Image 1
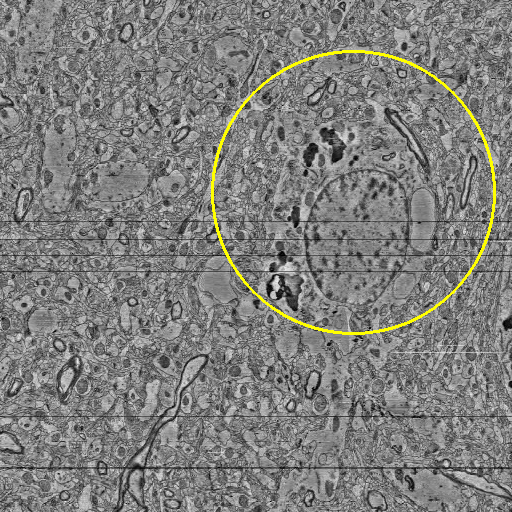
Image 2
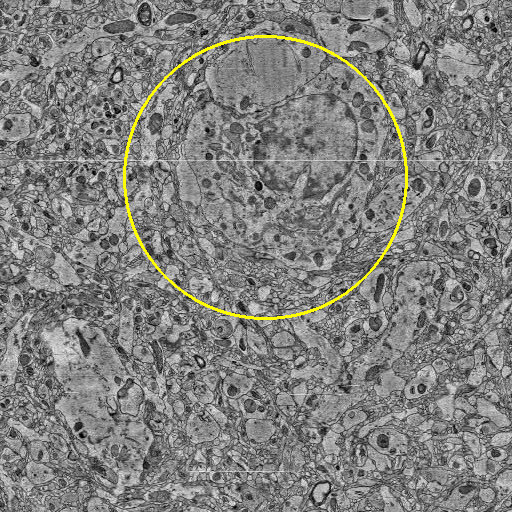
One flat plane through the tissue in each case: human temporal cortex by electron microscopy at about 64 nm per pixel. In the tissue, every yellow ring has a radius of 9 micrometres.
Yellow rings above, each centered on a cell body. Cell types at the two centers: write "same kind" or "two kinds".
two kinds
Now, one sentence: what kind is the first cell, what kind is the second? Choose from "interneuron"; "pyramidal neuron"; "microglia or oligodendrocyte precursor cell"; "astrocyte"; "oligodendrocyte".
The first picture has an astrocyte at its ring centre, and the second has an interneuron.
